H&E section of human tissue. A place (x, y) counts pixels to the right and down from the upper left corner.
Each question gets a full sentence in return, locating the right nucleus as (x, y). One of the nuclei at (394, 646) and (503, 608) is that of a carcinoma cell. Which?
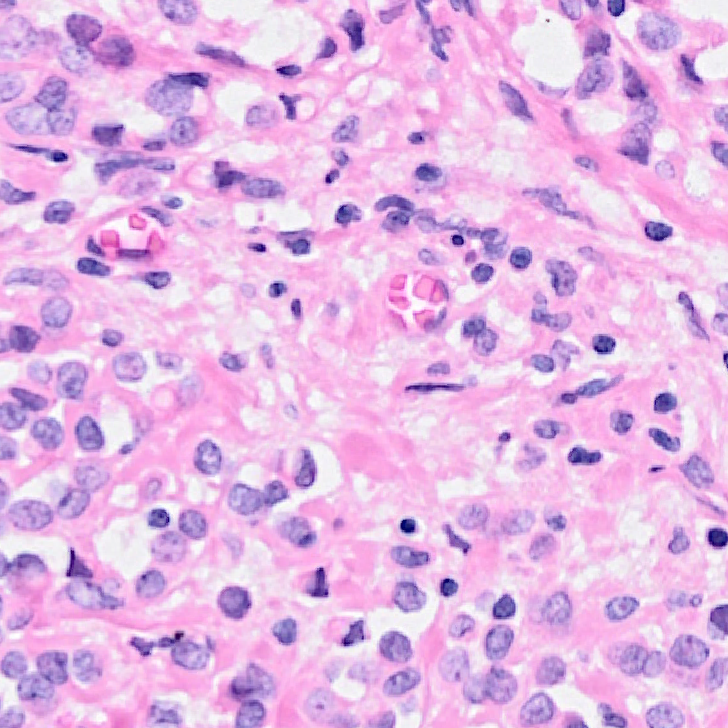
Out of the two, it is the nucleus at (394, 646) that belongs to a carcinoma cell.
